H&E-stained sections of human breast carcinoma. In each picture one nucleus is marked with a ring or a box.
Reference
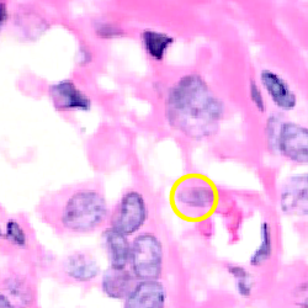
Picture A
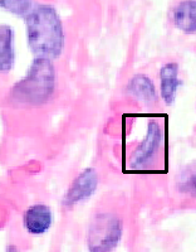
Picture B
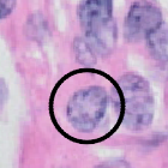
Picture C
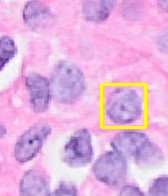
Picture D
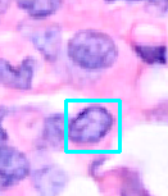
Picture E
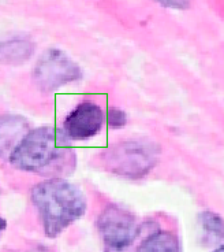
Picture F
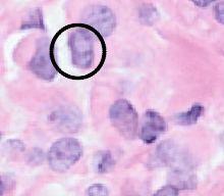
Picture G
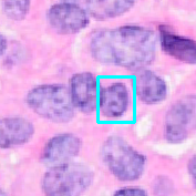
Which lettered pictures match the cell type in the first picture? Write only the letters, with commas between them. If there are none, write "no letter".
A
